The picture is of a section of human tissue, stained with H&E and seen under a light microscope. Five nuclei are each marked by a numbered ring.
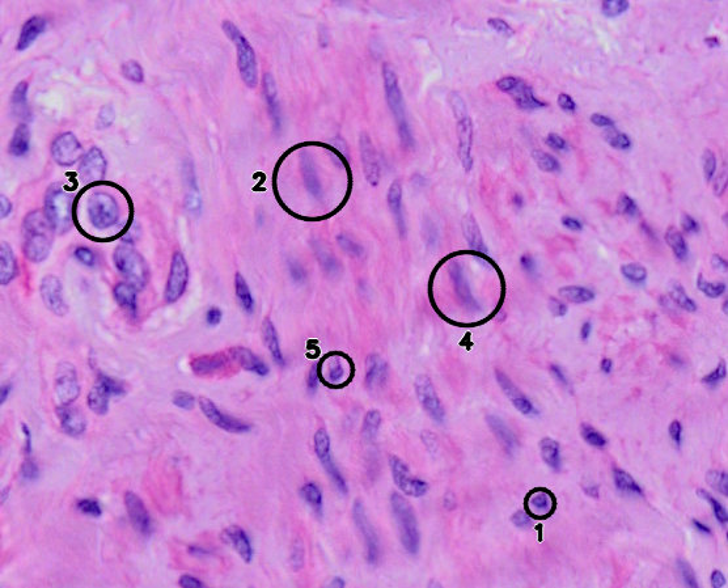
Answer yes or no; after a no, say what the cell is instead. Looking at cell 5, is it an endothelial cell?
No, it is a smooth muscle cell.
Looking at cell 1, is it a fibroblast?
Yes.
